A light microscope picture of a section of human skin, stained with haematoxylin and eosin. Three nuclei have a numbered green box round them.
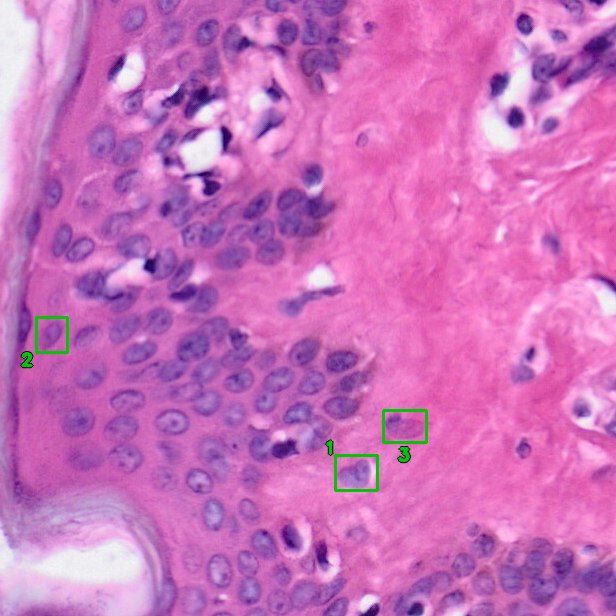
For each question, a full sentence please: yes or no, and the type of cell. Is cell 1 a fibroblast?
Yes, the cell tagged with the number 1 is a fibroblast.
